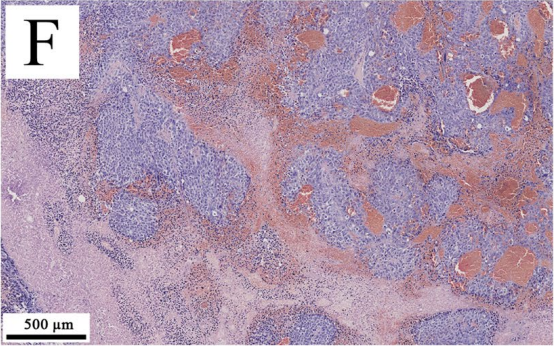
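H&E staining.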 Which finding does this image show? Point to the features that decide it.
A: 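Large pale pink areas without nuclei lie between purple cell islands. Broad red areas of blood spread through the tissue. So: Necrosis and hemorrhage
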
